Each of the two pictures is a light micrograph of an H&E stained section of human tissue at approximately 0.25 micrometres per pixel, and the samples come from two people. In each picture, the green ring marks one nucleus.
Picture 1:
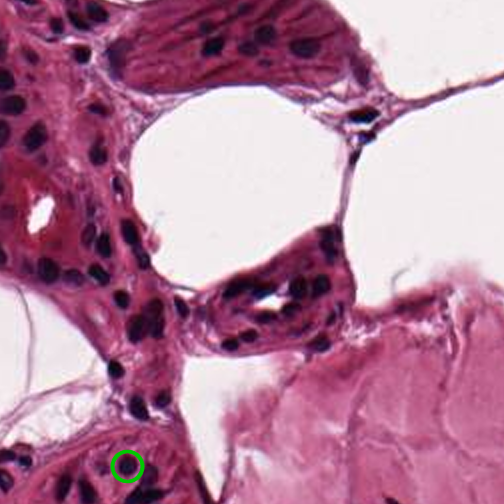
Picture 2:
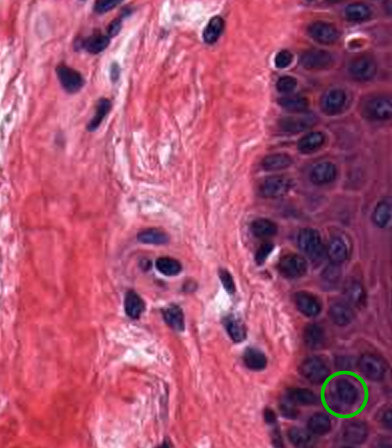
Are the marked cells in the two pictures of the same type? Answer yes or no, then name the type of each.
No, the first is a sweat gland cell and the second a keratinocyte.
